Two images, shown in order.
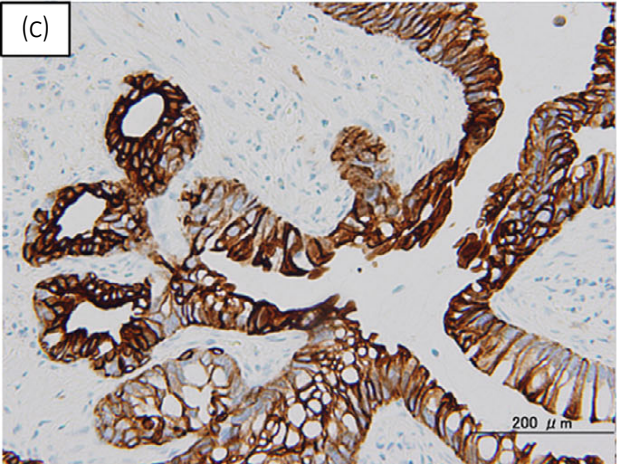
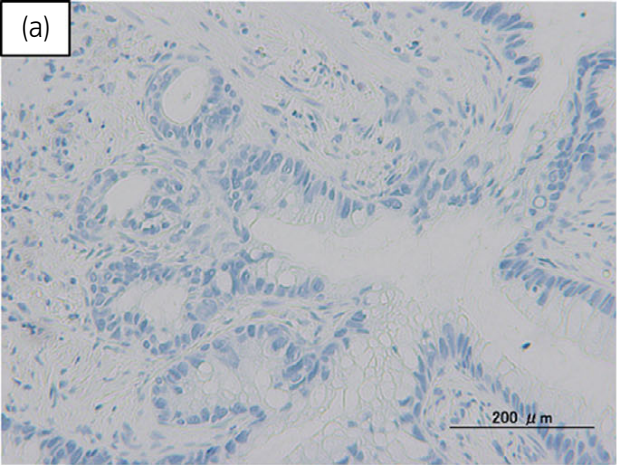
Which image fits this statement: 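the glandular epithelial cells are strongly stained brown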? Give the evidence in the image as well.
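The first image. First image: the epithelial cells lining the glands are intensely brown throughout their membranes and cytoplasm. Second image: the glandular epithelium shows only blue counterstain with no brown.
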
